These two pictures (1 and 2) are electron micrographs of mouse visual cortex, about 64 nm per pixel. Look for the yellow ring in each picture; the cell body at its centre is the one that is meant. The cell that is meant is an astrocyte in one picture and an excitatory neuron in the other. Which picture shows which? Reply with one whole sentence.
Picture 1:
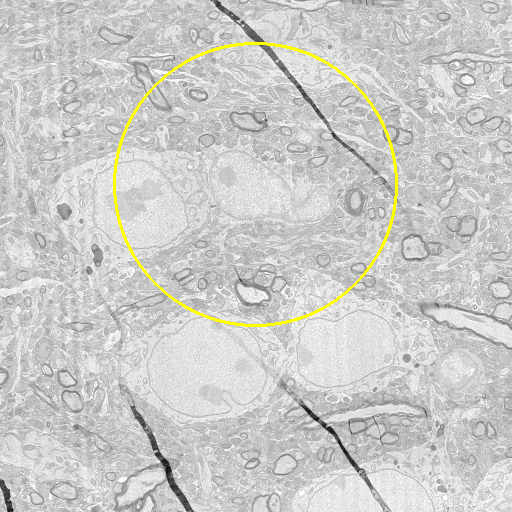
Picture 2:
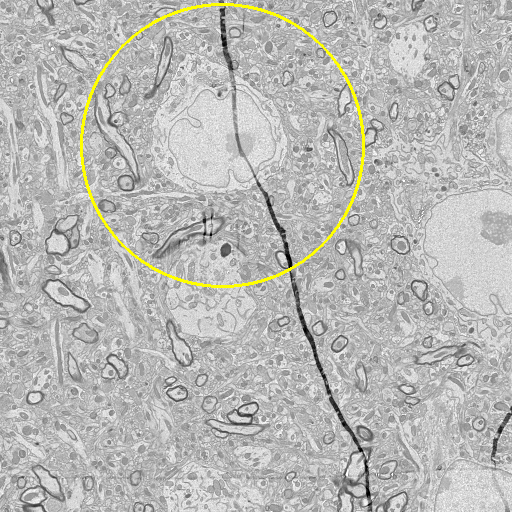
Picture 1 is of an astrocyte, and picture 2 is of an excitatory neuron.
